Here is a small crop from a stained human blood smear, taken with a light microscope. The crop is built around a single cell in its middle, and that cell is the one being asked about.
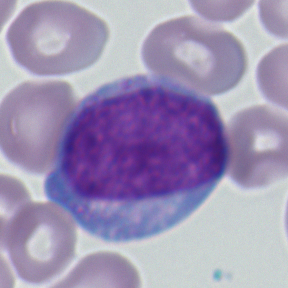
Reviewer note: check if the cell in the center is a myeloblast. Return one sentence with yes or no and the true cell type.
No, it isn't a myeloblast; what sits in the middle is a promyelocyte.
